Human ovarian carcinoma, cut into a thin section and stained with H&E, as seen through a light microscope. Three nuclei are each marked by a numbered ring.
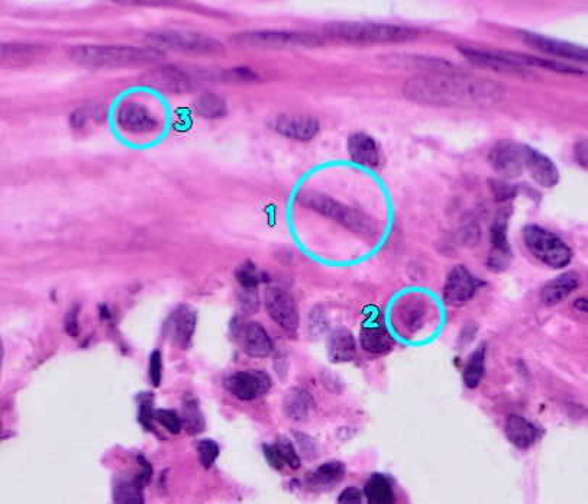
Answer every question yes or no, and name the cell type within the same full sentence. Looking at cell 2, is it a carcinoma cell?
Yes, the cell with its nucleus marked 2 is a carcinoma cell.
